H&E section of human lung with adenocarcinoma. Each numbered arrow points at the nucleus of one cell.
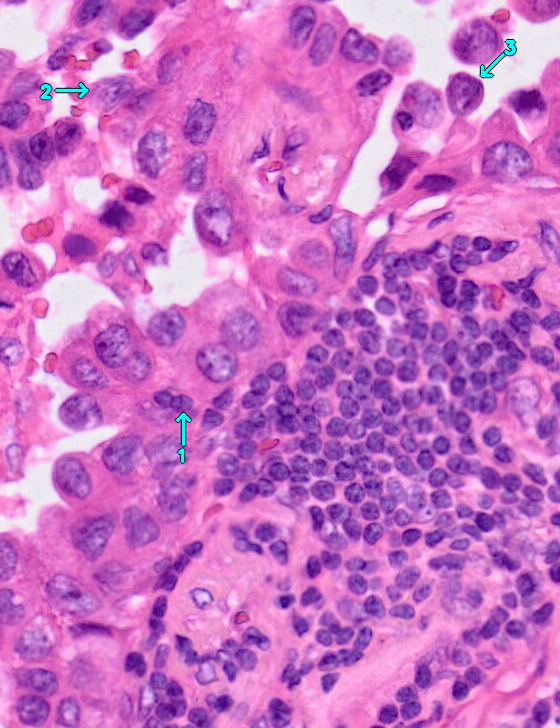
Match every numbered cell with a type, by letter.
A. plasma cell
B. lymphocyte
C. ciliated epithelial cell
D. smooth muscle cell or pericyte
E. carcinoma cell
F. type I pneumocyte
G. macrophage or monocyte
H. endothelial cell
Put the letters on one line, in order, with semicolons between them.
B; E; E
